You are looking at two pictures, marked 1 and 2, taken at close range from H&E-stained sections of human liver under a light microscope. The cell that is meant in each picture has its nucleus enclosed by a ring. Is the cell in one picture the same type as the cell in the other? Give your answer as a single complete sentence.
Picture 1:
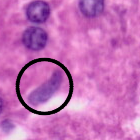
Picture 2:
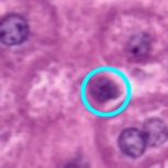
Yes, both are Kupffer cells.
